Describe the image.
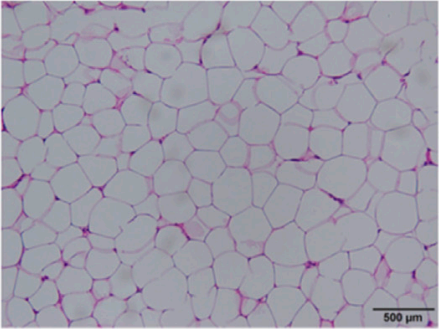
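Adipose tissue made of closely packed adipocytes. The cells are fairly uniform and polygonal, with clear interiors that look empty. Each cell is bounded by a thin pink rim of cytoplasm. Small, dark purple, flattened nuclei lie at the edges of the cells, often where several cells meet. Little tissue lies between the cells.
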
